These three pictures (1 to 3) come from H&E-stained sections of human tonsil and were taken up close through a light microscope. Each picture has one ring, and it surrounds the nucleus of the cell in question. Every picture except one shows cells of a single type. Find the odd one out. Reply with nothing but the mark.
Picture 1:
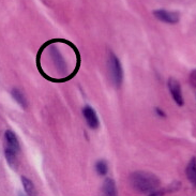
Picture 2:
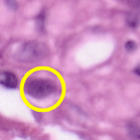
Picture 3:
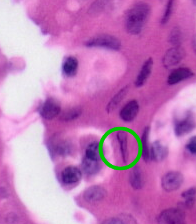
1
